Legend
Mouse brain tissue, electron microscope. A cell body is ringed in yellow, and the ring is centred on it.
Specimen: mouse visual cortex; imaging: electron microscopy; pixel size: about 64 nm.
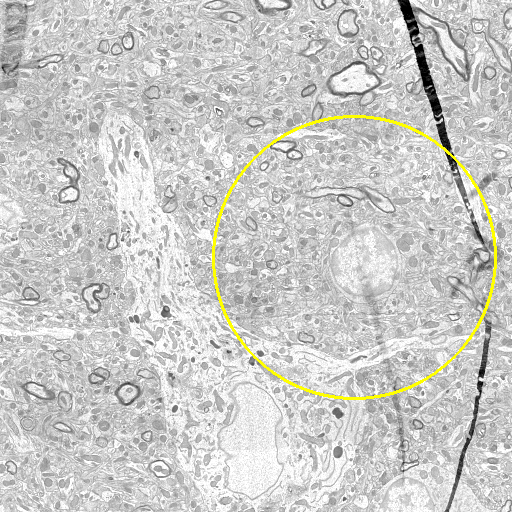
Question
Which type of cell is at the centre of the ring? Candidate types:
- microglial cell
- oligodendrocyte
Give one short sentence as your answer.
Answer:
The yellow ring is centred here on an oligodendrocyte.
